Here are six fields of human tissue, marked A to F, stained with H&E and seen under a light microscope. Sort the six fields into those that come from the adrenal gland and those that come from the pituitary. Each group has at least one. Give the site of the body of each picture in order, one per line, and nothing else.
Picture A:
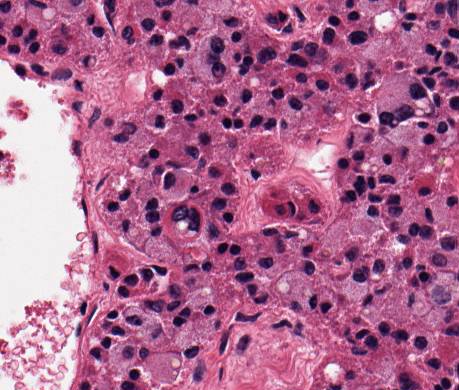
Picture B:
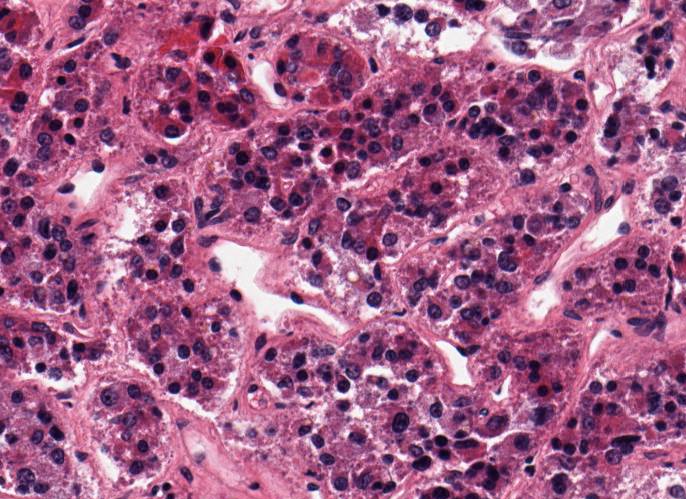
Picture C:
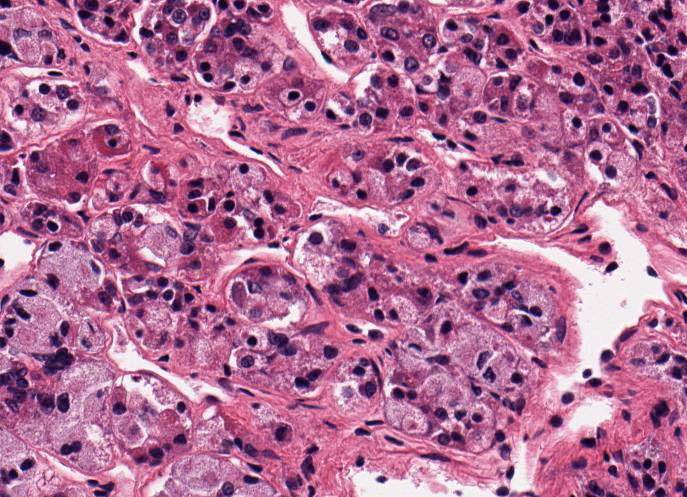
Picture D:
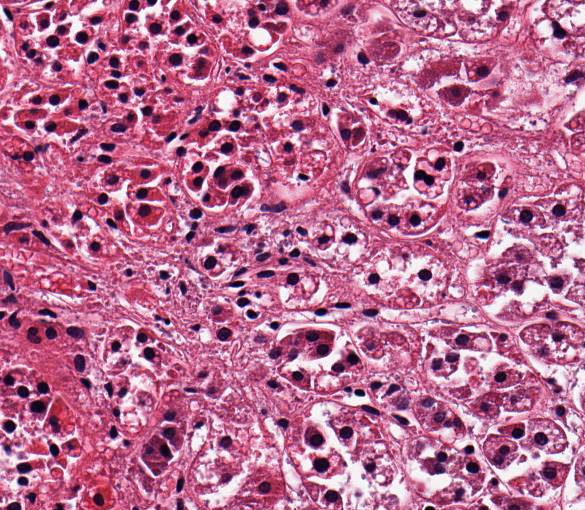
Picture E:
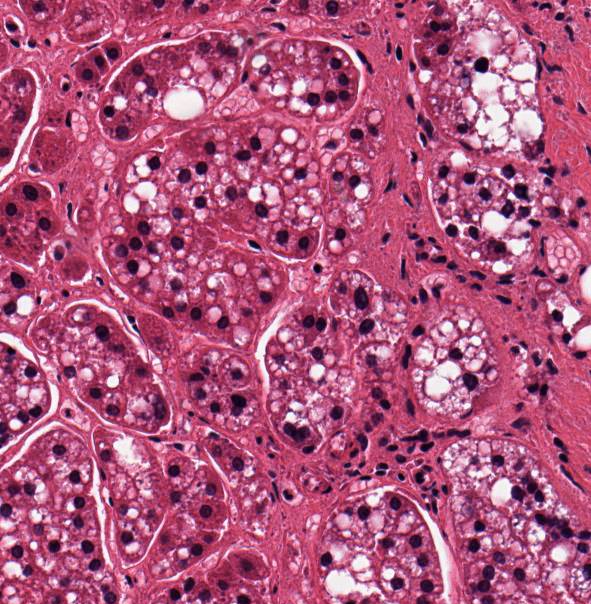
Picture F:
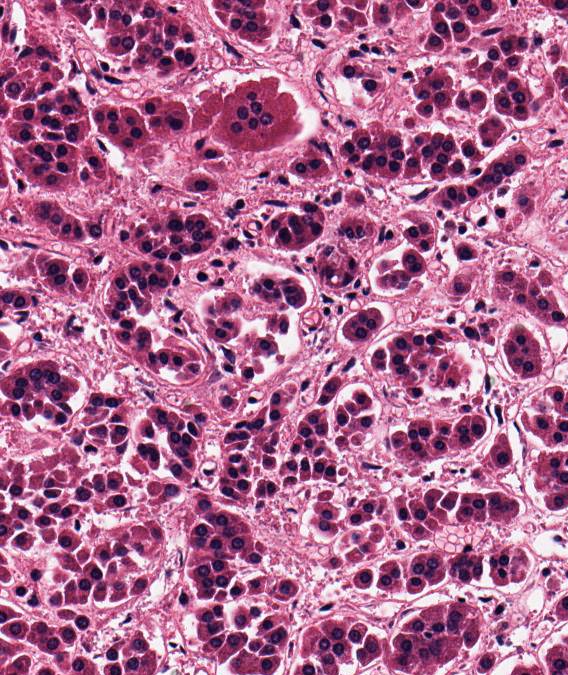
pituitary
pituitary
pituitary
adrenal gland
adrenal gland
adrenal gland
